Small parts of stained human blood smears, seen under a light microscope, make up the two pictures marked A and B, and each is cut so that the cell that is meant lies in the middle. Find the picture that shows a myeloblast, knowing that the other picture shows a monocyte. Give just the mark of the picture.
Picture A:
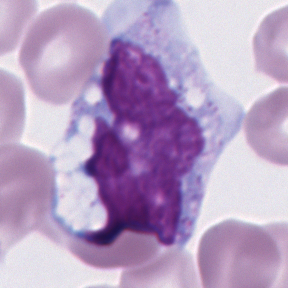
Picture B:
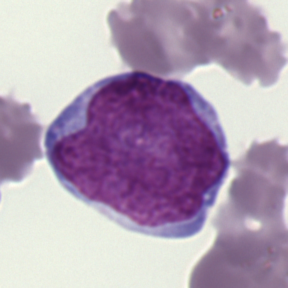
B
